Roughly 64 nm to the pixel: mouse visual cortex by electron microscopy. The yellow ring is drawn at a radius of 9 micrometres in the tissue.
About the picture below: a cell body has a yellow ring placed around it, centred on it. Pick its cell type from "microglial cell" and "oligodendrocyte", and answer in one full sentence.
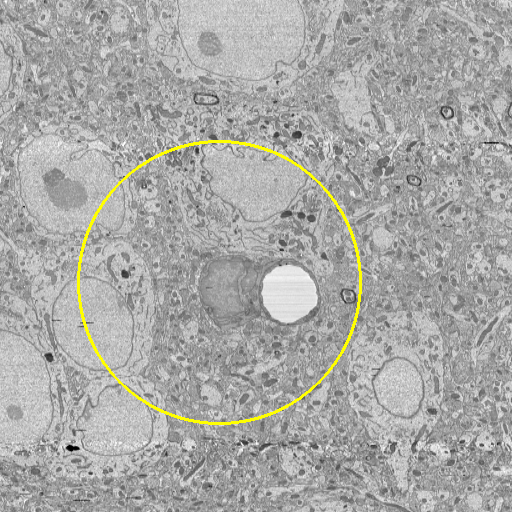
In the picture, a microglial cell is the cell sitting at the centre of the yellow ring.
